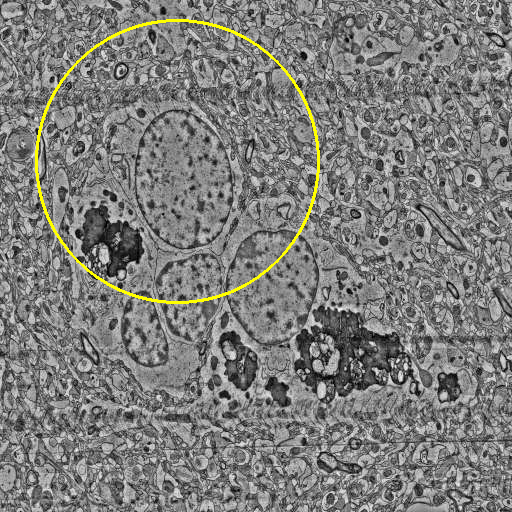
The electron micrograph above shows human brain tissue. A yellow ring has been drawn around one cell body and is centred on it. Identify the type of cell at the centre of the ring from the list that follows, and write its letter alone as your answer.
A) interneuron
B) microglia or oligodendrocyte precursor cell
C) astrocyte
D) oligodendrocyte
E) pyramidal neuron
C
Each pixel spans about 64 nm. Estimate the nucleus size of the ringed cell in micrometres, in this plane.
The nucleus of the ringed cell is approximately 9 by 6 micrometres in this plane.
